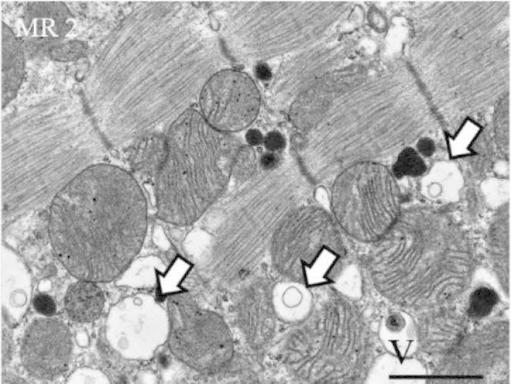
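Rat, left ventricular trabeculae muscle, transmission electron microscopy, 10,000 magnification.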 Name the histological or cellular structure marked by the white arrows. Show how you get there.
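The arrows point to round, electron-lucent, membrane-bound spaces. The spaces lie between mitochondria and myofibrils. Some spaces contain small membranous profiles. The answer: vacuoles.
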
